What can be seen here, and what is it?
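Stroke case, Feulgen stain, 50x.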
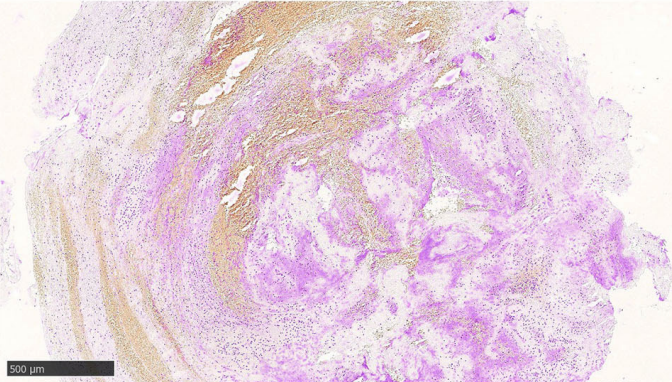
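This low-power view shows a specimen in which irregular magenta-purple patches fill much of the centre. Around and between the magenta areas run swirling tan-yellow bands of packed red blood cells. Small dark nuclei are scattered throughout, more densely in places along the bands. The magenta material has a cloudy, web-like texture with ragged edges. It forms a central mass bordered by layered bands toward the edge.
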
